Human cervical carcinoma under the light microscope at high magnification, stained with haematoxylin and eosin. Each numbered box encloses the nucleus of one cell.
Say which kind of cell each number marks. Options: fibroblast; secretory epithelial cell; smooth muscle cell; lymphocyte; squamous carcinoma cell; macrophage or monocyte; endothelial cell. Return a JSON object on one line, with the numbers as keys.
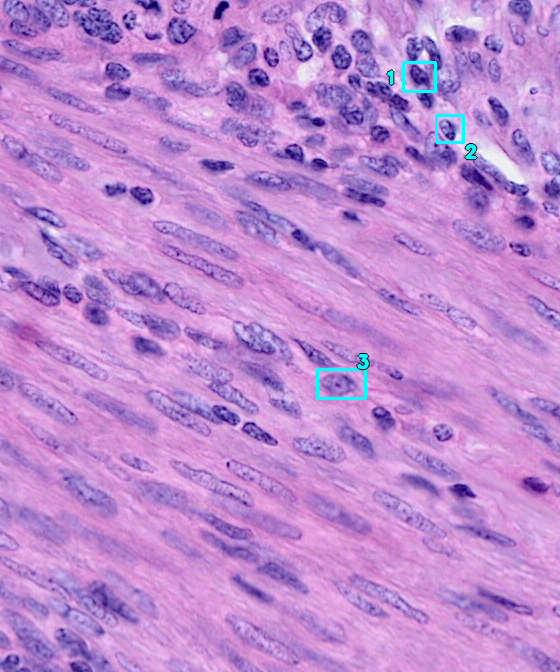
{"1": "lymphocyte", "2": "lymphocyte", "3": "smooth muscle cell"}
